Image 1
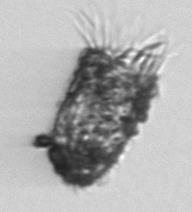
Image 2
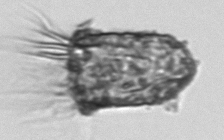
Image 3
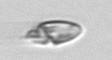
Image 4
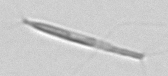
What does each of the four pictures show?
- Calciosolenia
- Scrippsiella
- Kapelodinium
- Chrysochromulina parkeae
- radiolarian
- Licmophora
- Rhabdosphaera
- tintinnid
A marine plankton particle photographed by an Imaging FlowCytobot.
(1) tintinnid
(2) tintinnid
(3) Kapelodinium
(4) Calciosolenia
